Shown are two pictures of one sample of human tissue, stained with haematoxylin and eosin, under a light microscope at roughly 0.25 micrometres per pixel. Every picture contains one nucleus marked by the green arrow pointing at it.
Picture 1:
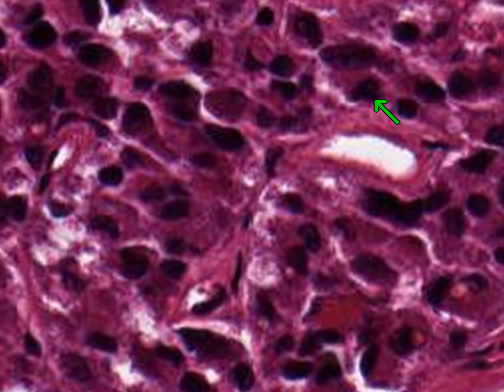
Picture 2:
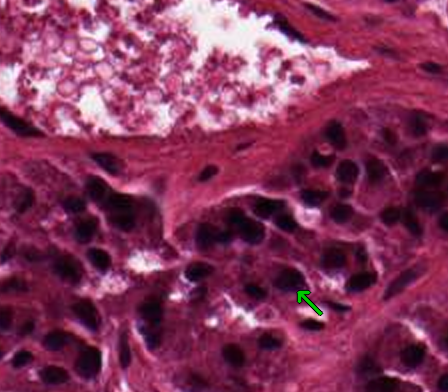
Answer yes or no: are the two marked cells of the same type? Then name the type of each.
Yes, both are anterior pituitary cells.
